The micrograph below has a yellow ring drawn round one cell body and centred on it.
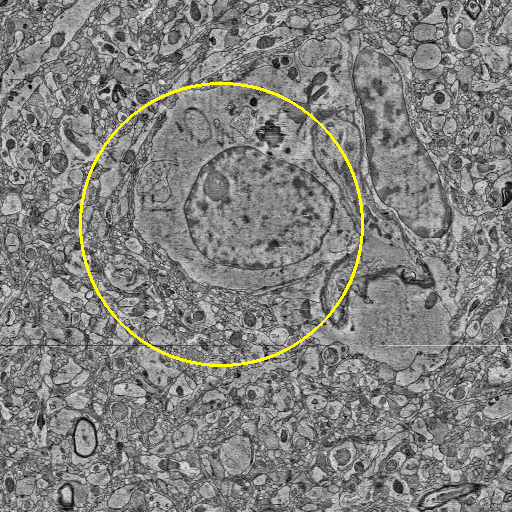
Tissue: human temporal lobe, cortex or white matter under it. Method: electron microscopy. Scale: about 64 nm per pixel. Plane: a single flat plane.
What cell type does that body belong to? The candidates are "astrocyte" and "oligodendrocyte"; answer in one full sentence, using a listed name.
This is an astrocyte, the cell whose body lies at the centre of the ring.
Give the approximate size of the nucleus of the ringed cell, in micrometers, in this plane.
About 9 micrometres across, as seen in this plane.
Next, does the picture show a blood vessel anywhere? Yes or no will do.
Yes, one appears.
